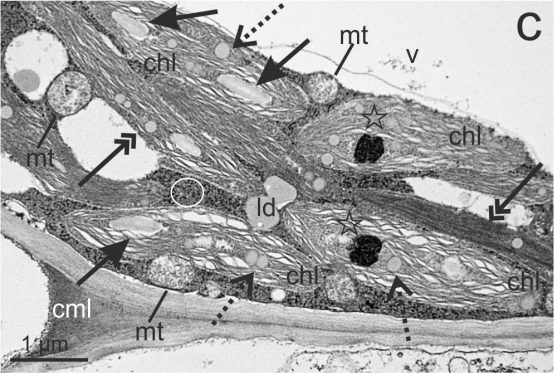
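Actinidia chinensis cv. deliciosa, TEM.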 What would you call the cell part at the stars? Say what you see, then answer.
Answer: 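Small black irregular masses sit inside the chloroplasts. They are far darker than the surrounding thylakoids.
Conclusion: electron-dense inclusions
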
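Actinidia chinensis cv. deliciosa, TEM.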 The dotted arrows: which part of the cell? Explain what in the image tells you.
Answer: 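Small round, uniformly grey globules lie among the thylakoids. They are much smaller than the elongated pale grains.
Plastoglobules.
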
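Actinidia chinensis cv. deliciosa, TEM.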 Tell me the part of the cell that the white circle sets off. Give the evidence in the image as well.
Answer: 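Ribosomes. The circled area is cytoplasm packed with fine dark granules. It lies between plastids, outside any membrane-bound organelle.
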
